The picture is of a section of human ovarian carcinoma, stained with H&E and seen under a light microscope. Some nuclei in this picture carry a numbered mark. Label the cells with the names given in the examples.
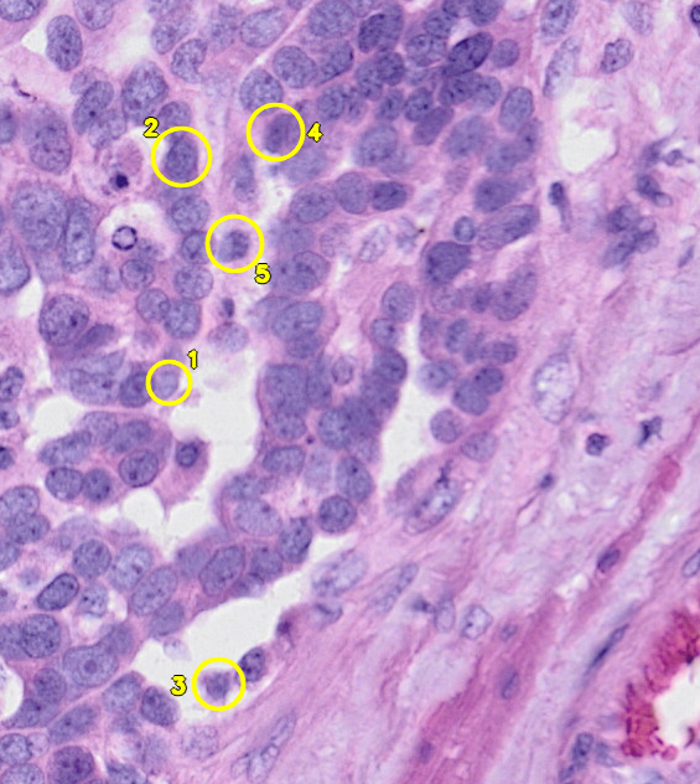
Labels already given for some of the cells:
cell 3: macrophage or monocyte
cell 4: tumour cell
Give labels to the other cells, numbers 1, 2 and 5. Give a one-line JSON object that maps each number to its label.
{"1": "tumour cell", "2": "tumour cell", "5": "macrophage or monocyte"}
